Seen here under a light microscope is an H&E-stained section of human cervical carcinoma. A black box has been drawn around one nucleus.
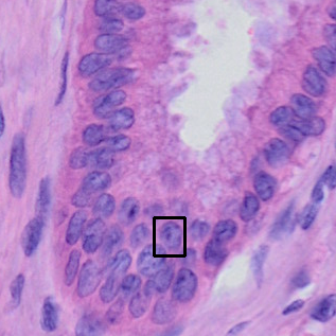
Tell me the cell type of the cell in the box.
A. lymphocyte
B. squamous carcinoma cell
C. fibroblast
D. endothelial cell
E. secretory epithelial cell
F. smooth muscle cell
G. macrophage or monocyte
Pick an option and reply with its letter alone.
E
